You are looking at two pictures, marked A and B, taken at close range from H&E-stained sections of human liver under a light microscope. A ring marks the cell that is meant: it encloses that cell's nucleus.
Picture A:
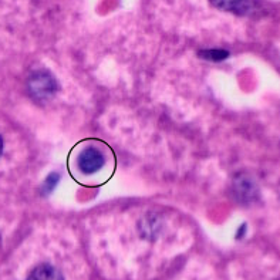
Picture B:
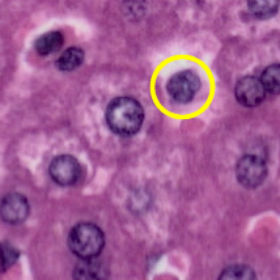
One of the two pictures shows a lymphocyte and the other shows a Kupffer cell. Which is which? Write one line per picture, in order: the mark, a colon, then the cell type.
A: lymphocyte
B: Kupffer cell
